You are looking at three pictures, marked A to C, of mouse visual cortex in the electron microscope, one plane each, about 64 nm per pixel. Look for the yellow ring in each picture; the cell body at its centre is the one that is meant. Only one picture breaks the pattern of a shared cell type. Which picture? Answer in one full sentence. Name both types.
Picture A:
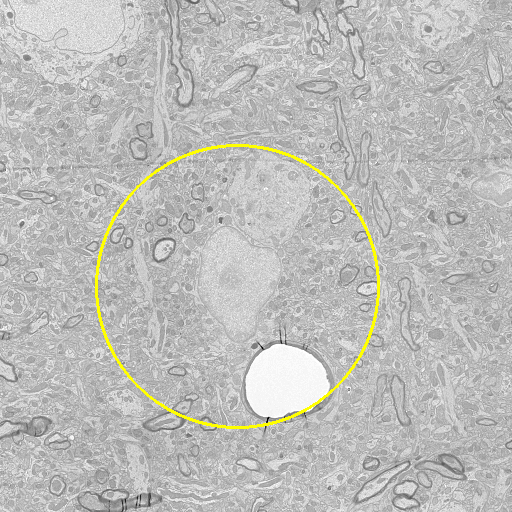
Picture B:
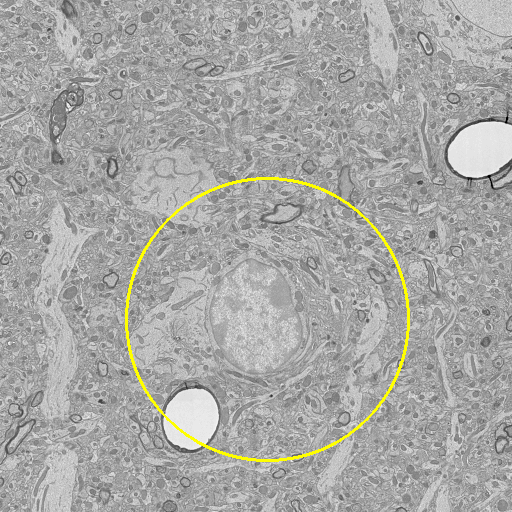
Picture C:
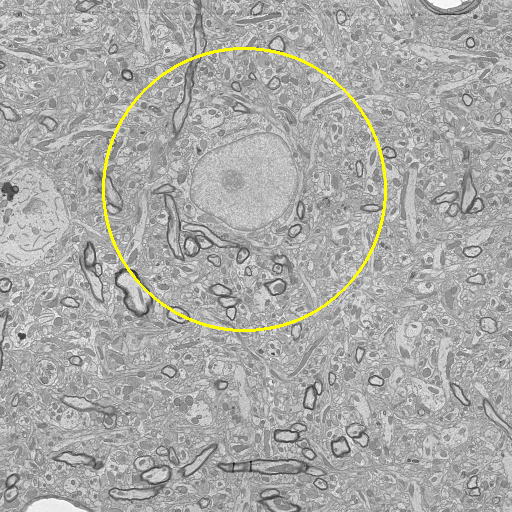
The different one is picture B; it shows an oligodendrocyte, whereas all the others show astrocytes.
